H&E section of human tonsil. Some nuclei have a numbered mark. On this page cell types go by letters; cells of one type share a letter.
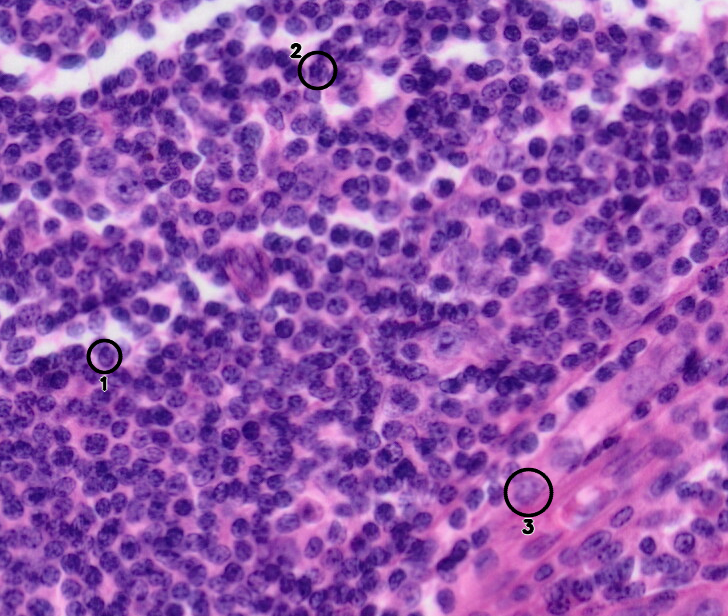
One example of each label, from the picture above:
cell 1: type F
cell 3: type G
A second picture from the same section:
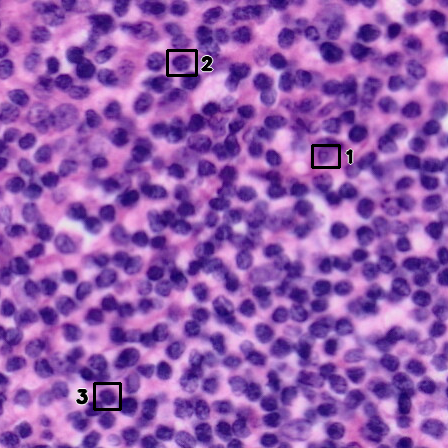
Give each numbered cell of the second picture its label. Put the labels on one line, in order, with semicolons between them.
type G; type F; type F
